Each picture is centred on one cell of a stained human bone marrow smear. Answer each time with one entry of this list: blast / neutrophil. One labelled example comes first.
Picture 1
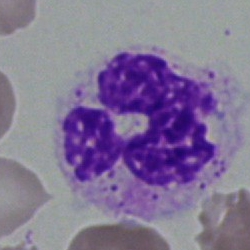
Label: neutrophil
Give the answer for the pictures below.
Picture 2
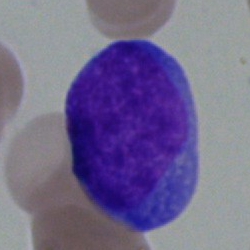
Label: blast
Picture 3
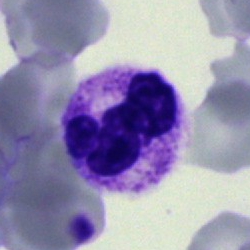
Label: neutrophil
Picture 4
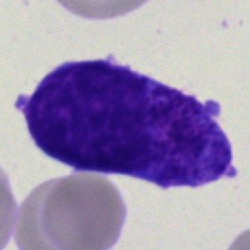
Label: blast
